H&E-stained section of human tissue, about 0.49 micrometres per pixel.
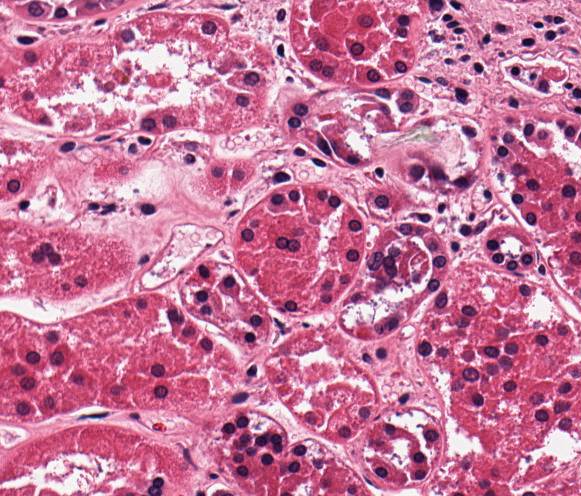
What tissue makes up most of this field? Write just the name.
cortical labyrinth of the kidney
